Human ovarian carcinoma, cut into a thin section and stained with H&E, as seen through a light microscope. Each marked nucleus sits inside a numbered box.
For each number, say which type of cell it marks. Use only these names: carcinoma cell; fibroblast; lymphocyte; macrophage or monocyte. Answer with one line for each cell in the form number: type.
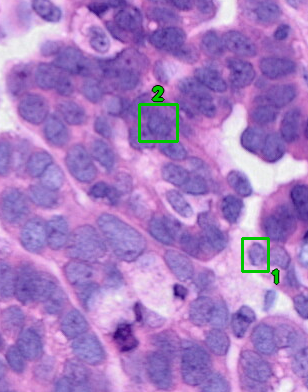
1: macrophage or monocyte
2: carcinoma cell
